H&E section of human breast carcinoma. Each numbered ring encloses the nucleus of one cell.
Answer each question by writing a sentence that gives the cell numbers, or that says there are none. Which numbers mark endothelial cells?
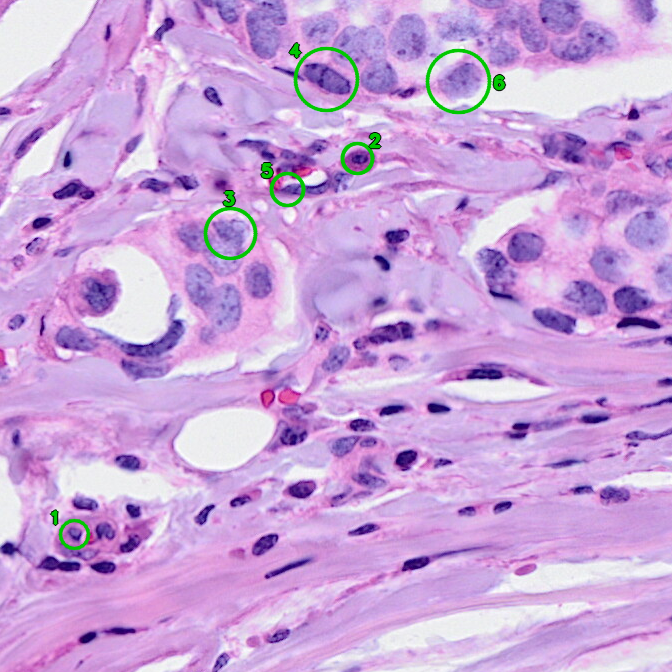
The cells with numbers 1 and 5 are endothelial cells by type.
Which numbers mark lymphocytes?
Among the cells with numbered nuclei there are no lymphocytes.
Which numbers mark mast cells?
Only cell 2 should be marked as a mast cell.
